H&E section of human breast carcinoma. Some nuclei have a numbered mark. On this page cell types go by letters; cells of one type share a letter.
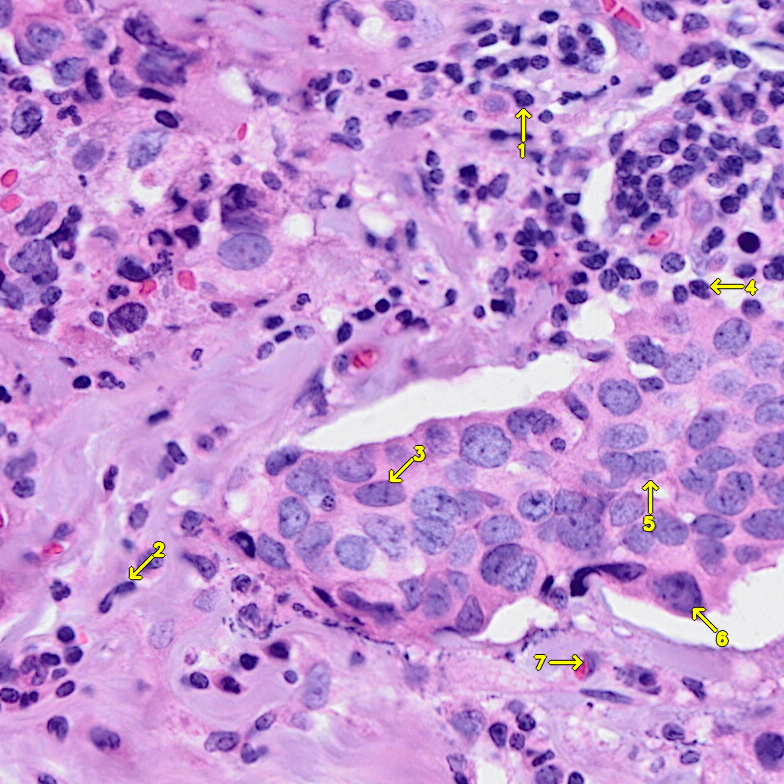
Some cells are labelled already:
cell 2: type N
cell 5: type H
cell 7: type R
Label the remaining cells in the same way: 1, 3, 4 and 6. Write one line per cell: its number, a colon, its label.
1: type N
3: type H
4: type N
6: type H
